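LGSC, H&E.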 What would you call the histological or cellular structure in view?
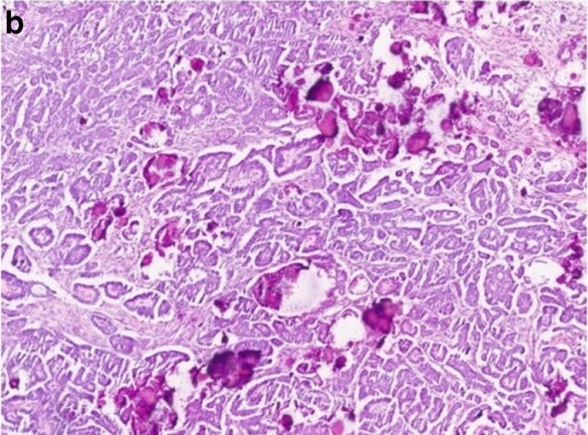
Psammoma bodies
